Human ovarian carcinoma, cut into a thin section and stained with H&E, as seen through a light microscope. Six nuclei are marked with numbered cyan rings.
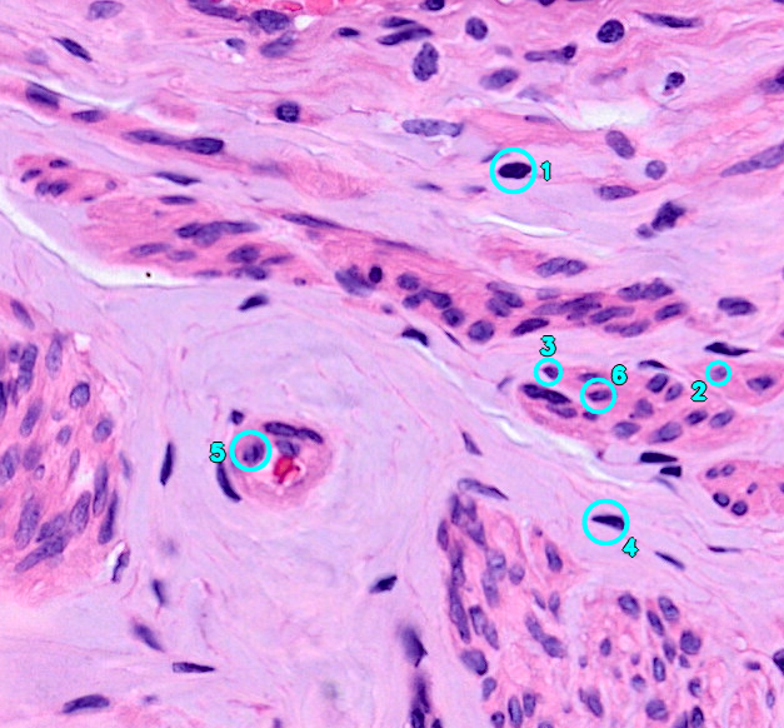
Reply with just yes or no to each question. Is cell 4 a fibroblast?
yes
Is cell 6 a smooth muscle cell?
yes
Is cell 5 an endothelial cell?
yes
